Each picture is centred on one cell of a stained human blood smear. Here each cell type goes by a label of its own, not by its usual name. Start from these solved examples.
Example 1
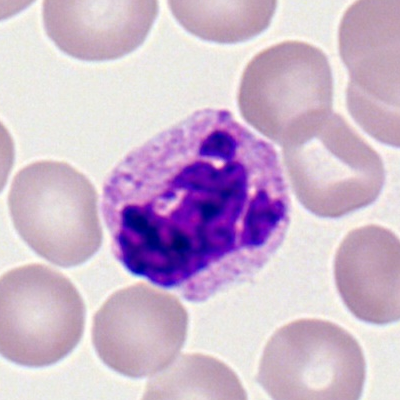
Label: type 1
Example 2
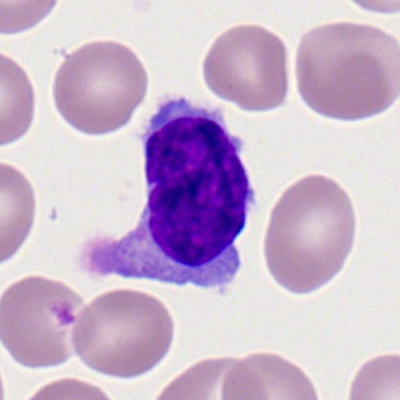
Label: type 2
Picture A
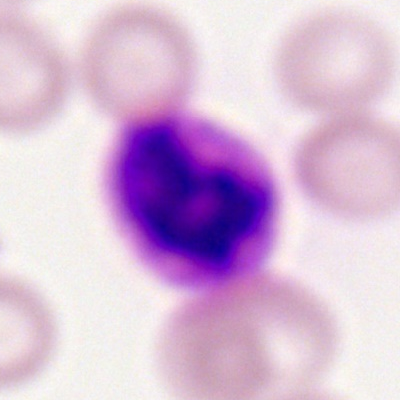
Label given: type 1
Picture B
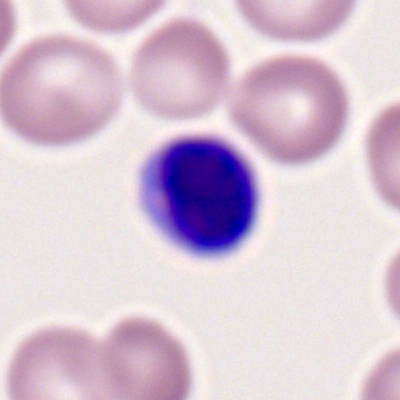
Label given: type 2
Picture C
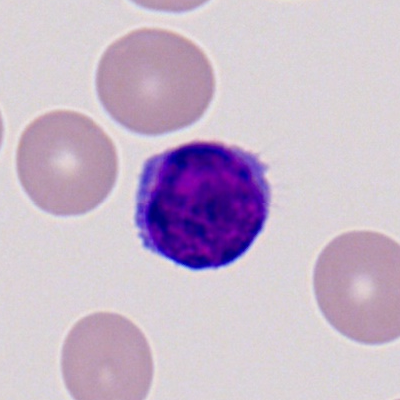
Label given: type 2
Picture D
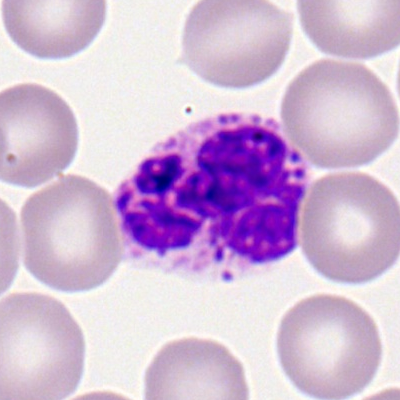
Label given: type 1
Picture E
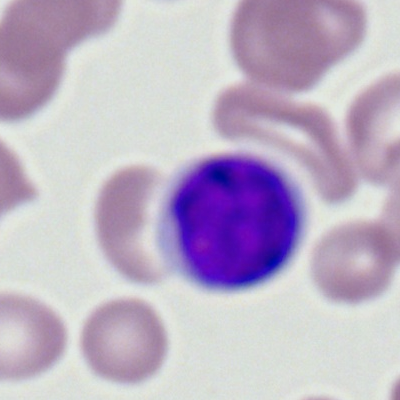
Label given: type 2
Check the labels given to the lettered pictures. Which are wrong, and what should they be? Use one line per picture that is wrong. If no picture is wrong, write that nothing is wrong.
Every label is right.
